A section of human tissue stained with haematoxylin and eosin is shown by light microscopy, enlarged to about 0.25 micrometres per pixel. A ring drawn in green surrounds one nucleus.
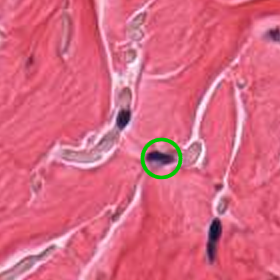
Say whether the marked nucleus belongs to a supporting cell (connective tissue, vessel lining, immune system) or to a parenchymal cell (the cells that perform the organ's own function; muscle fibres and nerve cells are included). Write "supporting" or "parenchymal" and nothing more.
supporting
